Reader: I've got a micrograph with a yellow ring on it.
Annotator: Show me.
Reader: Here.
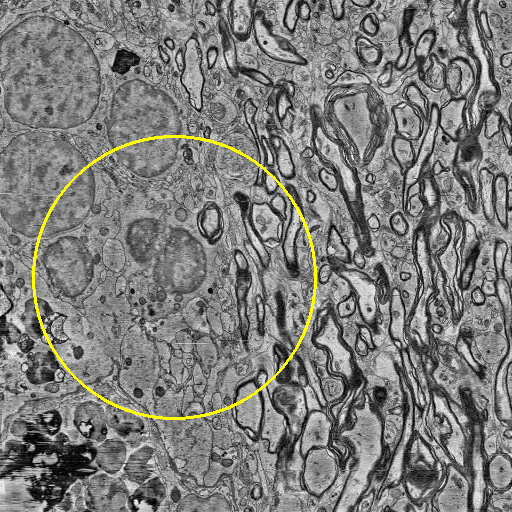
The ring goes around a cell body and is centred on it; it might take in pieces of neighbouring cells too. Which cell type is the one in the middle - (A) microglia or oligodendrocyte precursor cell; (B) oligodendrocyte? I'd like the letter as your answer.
B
